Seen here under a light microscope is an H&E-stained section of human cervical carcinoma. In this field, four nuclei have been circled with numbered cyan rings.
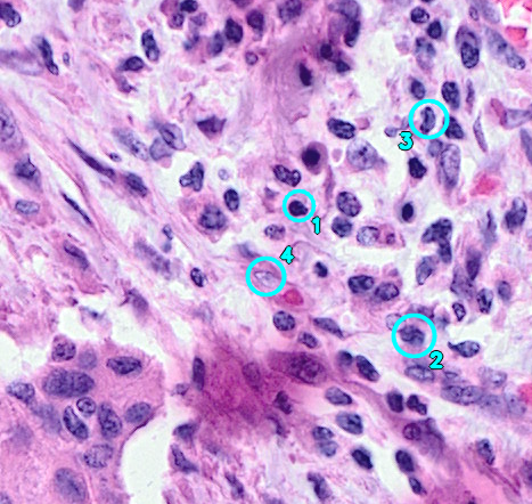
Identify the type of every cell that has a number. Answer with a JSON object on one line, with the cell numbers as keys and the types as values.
{"1": "lymphocyte", "2": "lymphocyte", "3": "lymphocyte", "4": "endothelial cell"}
